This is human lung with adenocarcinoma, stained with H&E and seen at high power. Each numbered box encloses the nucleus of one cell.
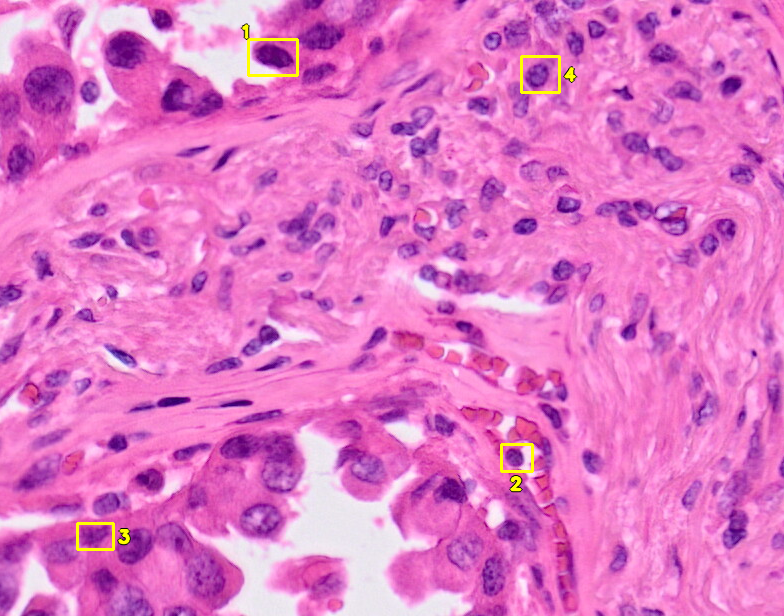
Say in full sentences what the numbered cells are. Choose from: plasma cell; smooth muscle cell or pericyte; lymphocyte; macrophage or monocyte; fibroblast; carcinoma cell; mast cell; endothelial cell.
Cells 1 and 3 are carcinoma cells. Cell 2 is a lymphocyte. Cell 4 is a plasma cell.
